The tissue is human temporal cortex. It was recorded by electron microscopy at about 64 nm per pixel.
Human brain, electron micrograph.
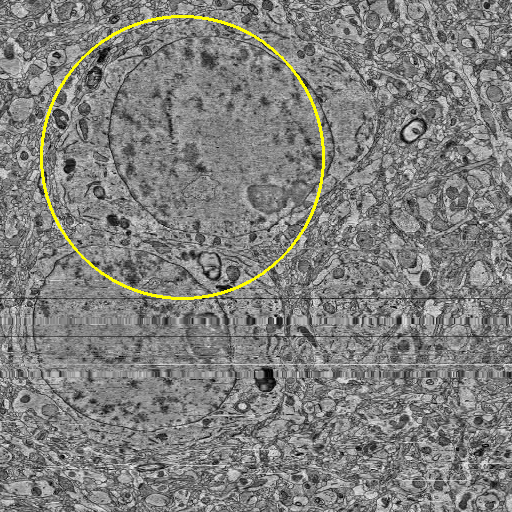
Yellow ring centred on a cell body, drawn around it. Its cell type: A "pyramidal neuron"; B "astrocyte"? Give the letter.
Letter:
A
